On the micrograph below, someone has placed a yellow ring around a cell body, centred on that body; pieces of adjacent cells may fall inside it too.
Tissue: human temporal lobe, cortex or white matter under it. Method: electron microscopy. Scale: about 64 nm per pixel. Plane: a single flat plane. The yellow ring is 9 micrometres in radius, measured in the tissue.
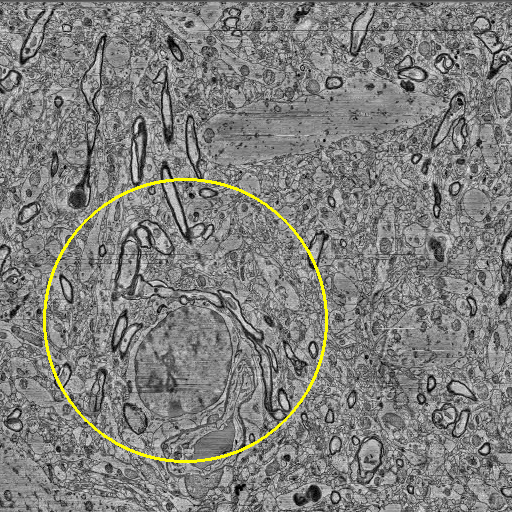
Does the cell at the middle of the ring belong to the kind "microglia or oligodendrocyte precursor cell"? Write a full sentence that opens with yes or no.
Yes, the cell lying at the ring's centre on the micrograph is that kind.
